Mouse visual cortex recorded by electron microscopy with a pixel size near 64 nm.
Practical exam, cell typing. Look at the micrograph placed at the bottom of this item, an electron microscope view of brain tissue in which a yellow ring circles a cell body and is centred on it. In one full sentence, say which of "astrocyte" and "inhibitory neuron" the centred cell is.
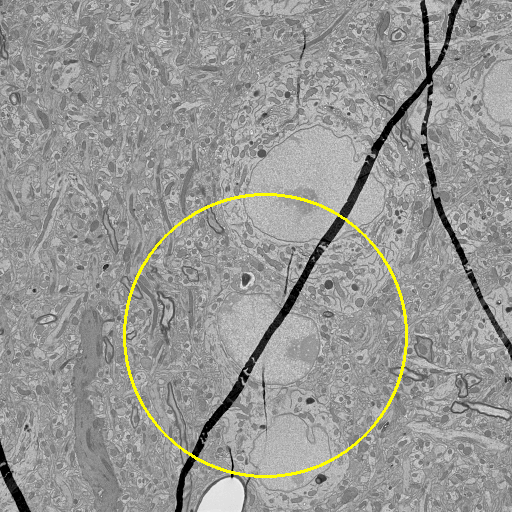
Given the options, an astrocyte fits the cell whose body the yellow ring is centred on.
